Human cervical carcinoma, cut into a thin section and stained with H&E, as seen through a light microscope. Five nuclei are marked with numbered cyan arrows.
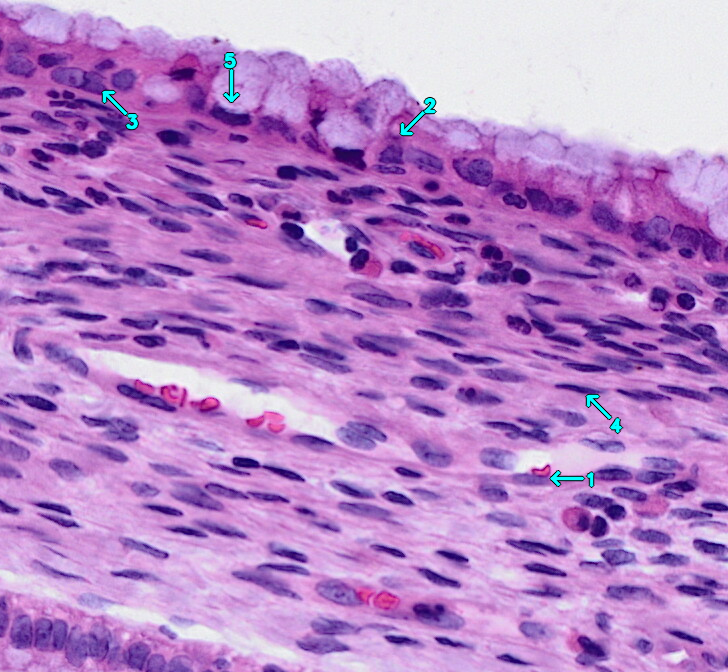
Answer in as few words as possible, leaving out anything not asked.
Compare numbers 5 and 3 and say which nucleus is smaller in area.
3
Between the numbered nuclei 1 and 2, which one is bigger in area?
2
